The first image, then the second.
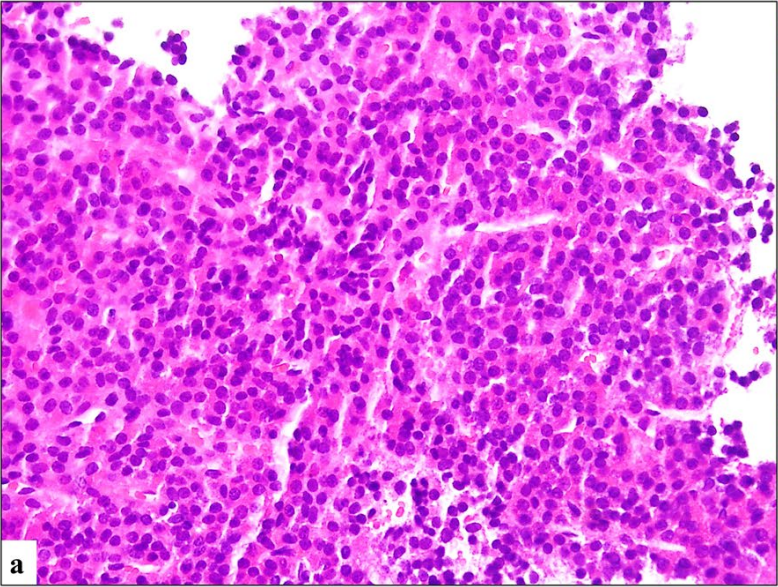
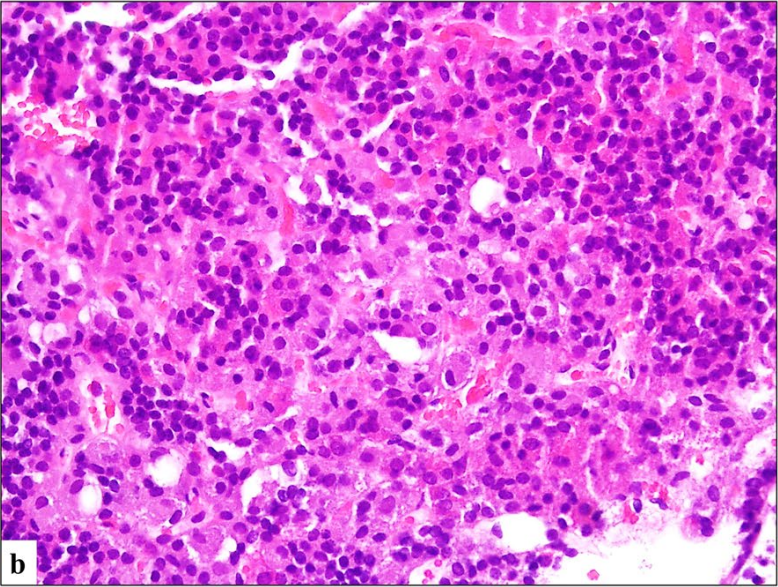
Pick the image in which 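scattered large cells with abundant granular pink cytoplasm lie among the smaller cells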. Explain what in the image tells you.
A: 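The second image. Second image: patches of large cells with plentiful granular pink cytoplasm lie among small dark-nucleated cells. First image: the cells look alike, with uniform round nuclei and modest cytoplasm.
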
